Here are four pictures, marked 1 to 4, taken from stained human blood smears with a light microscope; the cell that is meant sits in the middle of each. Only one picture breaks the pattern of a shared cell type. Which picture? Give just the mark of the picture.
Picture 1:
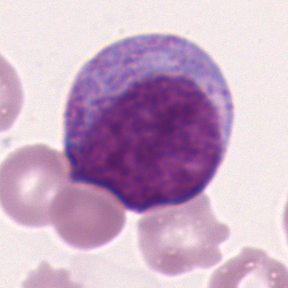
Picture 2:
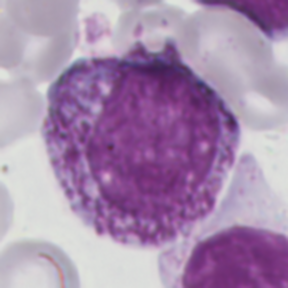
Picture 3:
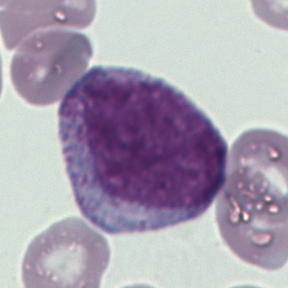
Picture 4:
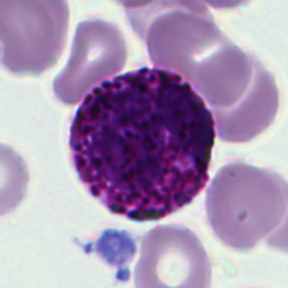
4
